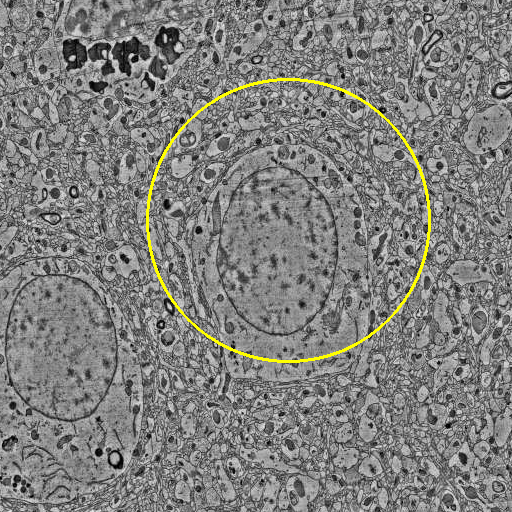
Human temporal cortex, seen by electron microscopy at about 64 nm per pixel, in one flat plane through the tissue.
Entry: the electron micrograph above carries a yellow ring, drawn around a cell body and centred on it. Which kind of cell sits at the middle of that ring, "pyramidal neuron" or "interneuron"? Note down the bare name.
pyramidal neuron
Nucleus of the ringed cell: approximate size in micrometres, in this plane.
The nucleus is approximately 11 micrometers long by 8 micrometers wide in this plane.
